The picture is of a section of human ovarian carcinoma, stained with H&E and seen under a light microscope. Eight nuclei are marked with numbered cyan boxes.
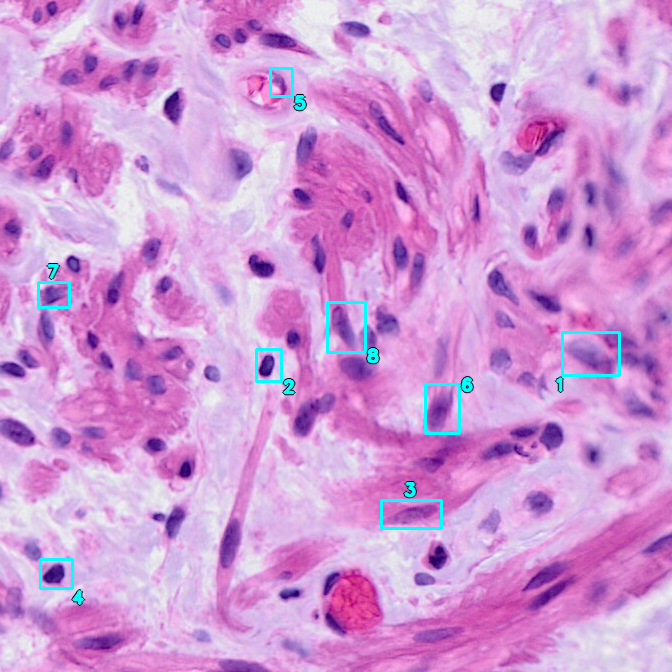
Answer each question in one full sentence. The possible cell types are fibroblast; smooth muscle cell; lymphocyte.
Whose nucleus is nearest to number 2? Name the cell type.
Number 2 lies closest to the nucleus of a smooth muscle cell.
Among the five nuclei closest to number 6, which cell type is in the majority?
Smooth muscle cells account for more than half of the five nuclei nearest to number 6.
